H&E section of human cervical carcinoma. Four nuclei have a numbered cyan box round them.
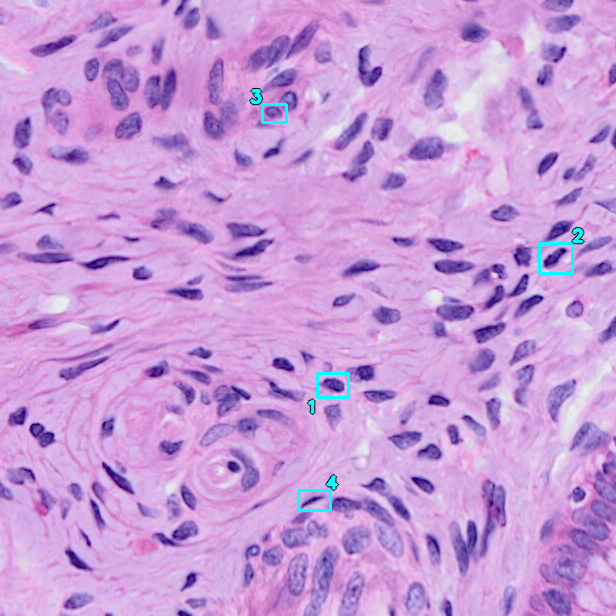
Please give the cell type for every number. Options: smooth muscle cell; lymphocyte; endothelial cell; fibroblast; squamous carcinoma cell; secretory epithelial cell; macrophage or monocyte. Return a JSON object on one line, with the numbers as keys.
{"1": "fibroblast", "2": "fibroblast", "3": "smooth muscle cell", "4": "fibroblast"}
